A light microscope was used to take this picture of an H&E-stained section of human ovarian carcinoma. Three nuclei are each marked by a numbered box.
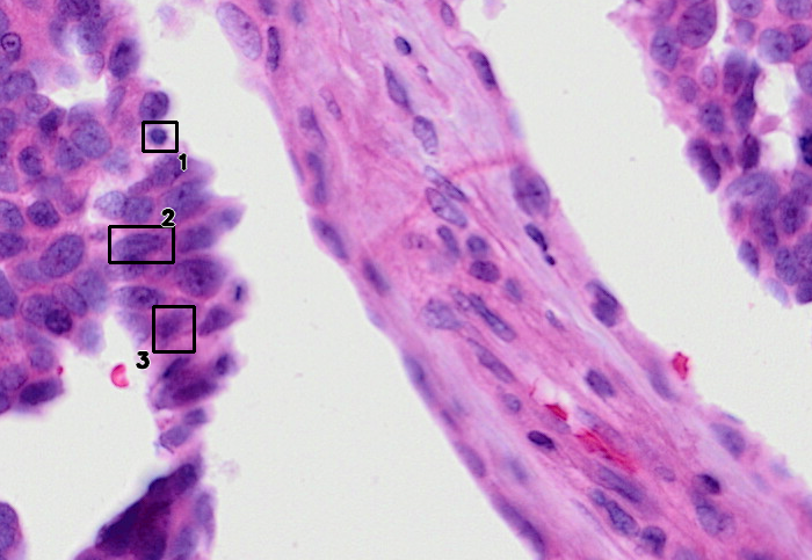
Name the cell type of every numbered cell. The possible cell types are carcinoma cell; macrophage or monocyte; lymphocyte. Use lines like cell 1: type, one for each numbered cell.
cell 1: lymphocyte
cell 2: carcinoma cell
cell 3: carcinoma cell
